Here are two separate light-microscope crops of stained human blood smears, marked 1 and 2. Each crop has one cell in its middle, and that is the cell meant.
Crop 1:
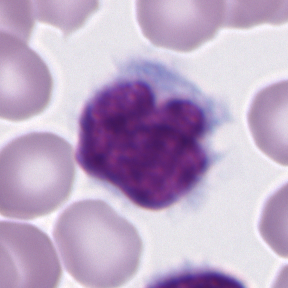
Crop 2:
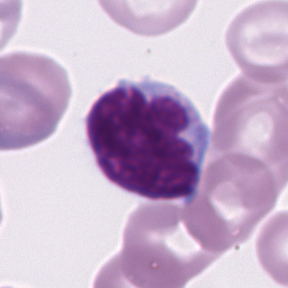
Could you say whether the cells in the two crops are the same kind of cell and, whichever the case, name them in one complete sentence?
No, a hairy cell occupies the middle of crop 1, and a typical lymphocyte the middle of crop 2.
